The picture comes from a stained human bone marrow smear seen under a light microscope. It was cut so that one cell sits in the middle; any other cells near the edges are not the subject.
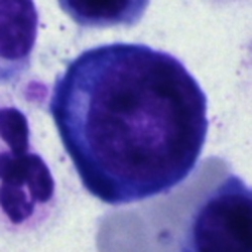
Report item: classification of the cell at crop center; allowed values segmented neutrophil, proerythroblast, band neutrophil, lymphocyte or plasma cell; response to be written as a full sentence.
To answer, the cell in the center of the crop is a proerythroblast.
